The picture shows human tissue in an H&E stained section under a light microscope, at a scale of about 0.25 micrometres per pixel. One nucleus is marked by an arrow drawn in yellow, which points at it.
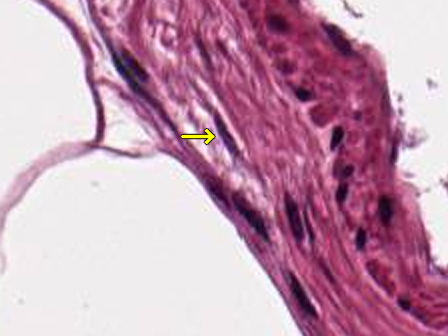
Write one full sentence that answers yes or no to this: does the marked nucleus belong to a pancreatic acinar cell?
No, the marked nucleus is found in a supporting cell instead of in a pancreatic acinar cell.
